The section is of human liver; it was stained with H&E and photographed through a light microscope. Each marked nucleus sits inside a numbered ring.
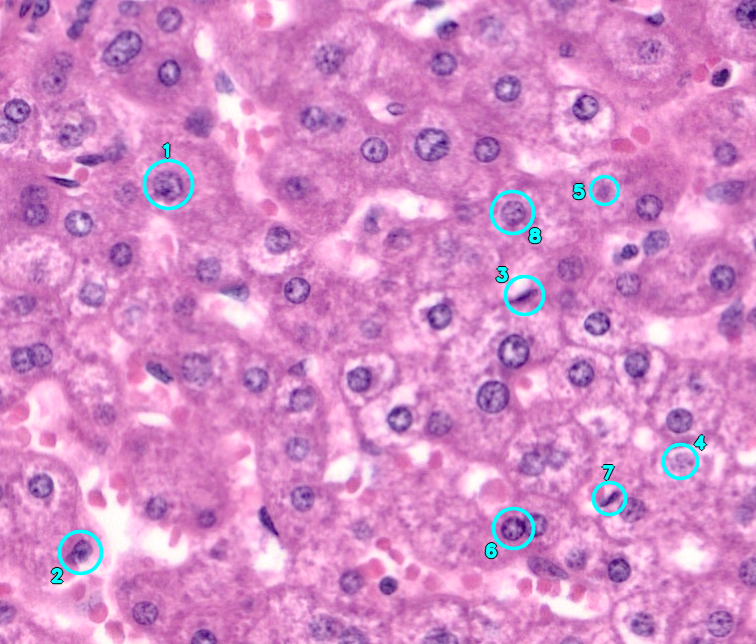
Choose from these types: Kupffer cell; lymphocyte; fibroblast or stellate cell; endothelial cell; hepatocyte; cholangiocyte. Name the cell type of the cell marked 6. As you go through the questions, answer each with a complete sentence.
The numbered cell 6 in this field is a hepatocyte.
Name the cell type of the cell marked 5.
Denoted by the label 5 in the section is a hepatocyte.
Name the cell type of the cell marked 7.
The cell given label 7 is an endothelial cell.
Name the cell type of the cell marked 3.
In this section, number 3 marks an endothelial cell.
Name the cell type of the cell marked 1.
Within this field of view, the cell labelled 1 is a hepatocyte.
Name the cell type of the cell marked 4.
Recognised here as a hepatocyte is the cell numbered 4.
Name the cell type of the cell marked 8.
The numeral 8 marks a hepatocyte in this section.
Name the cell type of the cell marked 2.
Marked with the number 2, this cell is a fibroblast or stellate cell.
